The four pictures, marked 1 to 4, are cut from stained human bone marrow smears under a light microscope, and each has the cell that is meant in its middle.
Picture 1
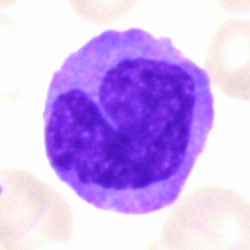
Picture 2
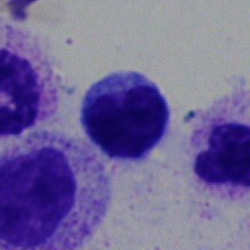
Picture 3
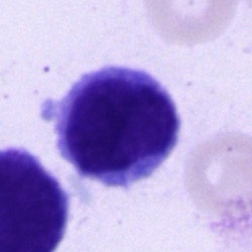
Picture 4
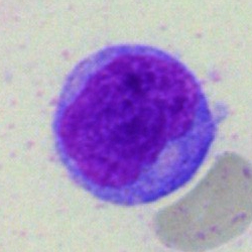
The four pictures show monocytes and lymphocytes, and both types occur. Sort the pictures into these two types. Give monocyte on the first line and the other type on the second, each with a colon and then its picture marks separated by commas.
monocyte: 1, 3, 4
lymphocyte: 2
